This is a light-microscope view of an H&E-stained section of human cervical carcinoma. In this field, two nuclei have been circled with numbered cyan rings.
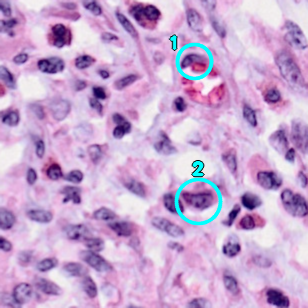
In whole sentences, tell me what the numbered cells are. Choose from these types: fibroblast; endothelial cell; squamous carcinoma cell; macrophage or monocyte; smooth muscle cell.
Cell 1 is an endothelial cell and cell 2 is a macrophage or monocyte.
